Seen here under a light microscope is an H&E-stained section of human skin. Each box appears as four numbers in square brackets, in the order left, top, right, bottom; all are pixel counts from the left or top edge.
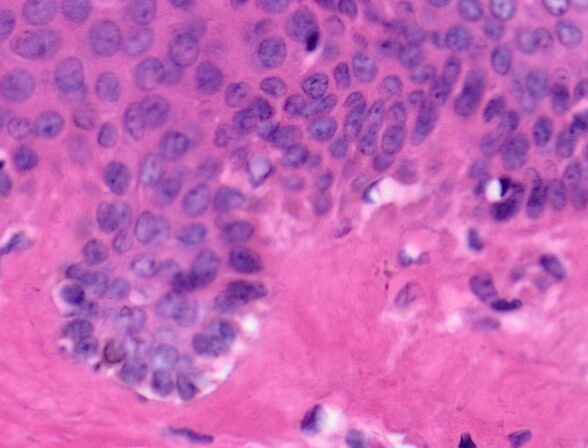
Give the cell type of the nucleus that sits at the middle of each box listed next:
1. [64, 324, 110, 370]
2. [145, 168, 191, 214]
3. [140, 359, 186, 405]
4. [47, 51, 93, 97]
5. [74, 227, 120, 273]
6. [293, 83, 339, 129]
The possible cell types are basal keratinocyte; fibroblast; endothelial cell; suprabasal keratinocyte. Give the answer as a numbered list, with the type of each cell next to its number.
1. basal keratinocyte
2. suprabasal keratinocyte
3. basal keratinocyte
4. suprabasal keratinocyte
5. basal keratinocyte
6. basal keratinocyte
